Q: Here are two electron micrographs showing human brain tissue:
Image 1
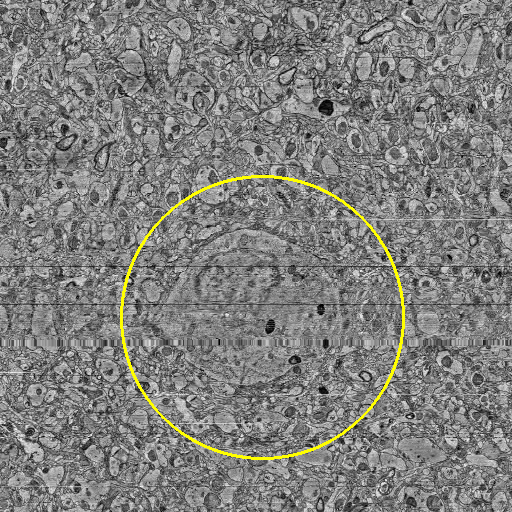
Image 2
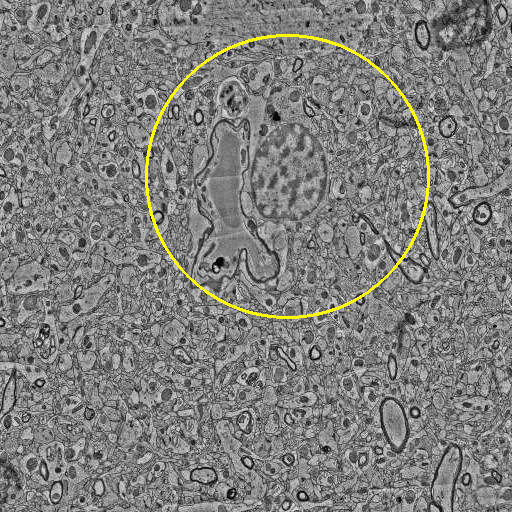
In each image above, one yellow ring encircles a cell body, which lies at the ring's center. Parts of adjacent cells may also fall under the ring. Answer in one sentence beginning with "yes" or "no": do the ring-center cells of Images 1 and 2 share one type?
No, in Images 1 and 2, the ring-center cells are of two types.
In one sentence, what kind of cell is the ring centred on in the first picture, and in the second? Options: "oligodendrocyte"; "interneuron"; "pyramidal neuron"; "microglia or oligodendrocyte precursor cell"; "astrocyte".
The cell at the centre of the second ring is an oligodendrocyte; the first ring's cell is an interneuron.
